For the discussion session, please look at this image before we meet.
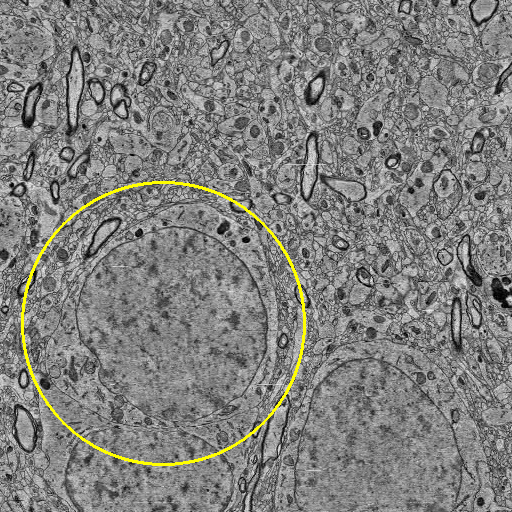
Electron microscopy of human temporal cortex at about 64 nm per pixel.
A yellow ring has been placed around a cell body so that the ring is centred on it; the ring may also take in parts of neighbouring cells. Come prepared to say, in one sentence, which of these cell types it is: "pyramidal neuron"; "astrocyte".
The cell centred in the ring is a pyramidal neuron.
